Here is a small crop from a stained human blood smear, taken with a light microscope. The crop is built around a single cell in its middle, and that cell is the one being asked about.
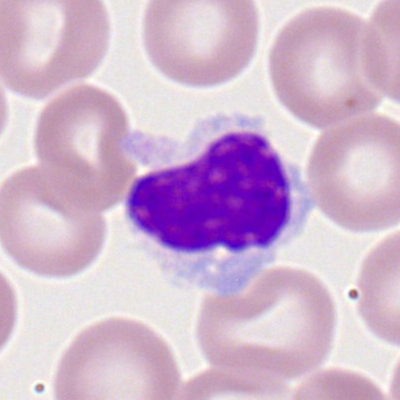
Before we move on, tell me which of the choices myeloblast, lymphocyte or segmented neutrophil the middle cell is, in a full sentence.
For this crop, the cell in the middle is a lymphocyte.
